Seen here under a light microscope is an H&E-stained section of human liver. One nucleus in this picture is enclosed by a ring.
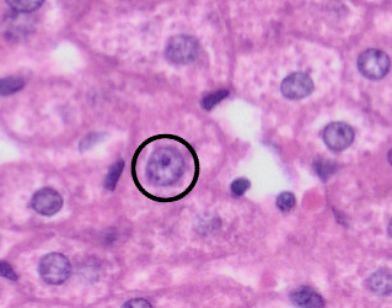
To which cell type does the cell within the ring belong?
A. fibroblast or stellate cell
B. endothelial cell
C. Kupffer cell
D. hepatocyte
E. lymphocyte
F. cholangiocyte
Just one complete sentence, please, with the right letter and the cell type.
It is correct to say that the cell within the ring is a hepatocyte, as option D does.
